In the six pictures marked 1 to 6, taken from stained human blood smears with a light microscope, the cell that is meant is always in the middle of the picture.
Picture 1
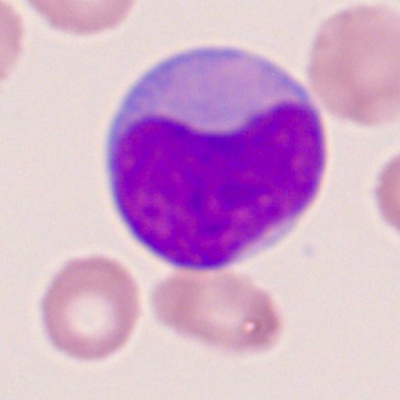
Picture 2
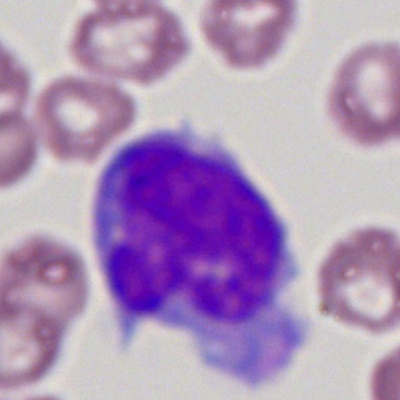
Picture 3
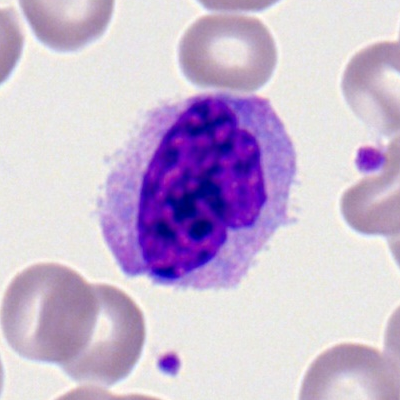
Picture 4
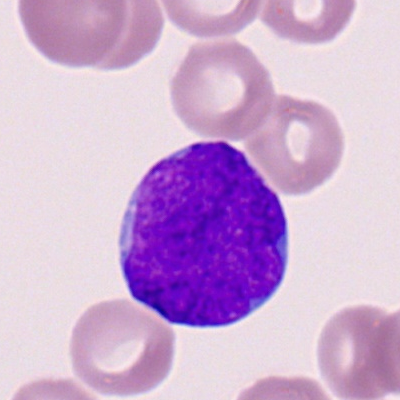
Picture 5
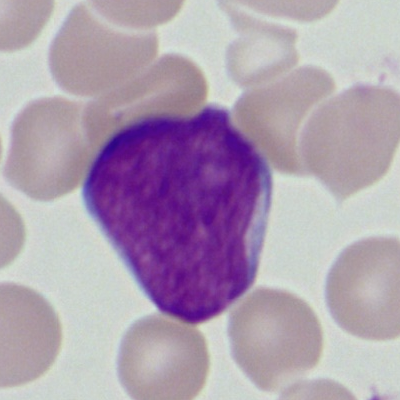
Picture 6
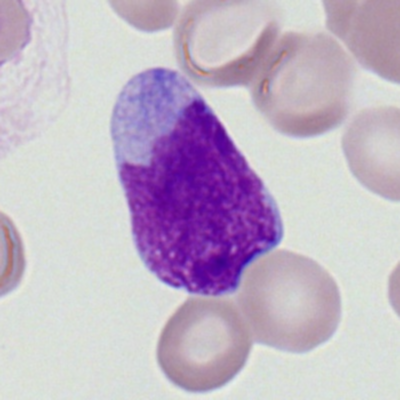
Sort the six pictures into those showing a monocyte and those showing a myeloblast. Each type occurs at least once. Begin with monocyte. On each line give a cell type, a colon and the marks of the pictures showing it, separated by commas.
monocyte: 2, 3
myeloblast: 1, 4, 5, 6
